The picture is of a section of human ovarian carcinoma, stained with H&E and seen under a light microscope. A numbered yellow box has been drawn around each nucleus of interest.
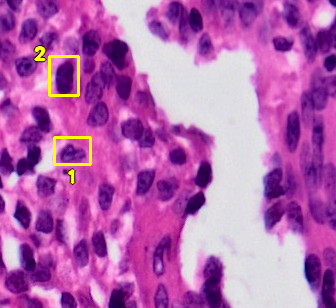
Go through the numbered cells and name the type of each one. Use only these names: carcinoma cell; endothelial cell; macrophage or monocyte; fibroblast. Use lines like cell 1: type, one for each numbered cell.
cell 1: macrophage or monocyte
cell 2: carcinoma cell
